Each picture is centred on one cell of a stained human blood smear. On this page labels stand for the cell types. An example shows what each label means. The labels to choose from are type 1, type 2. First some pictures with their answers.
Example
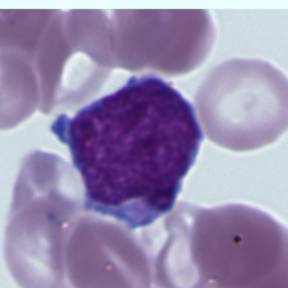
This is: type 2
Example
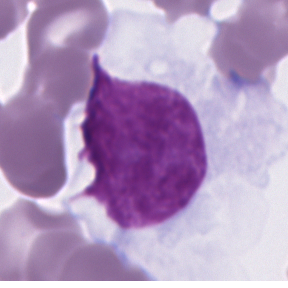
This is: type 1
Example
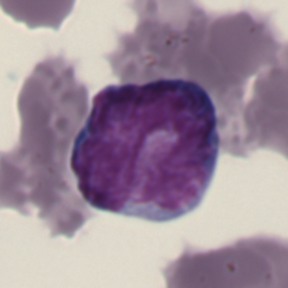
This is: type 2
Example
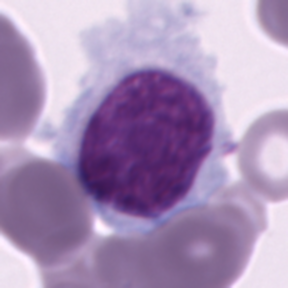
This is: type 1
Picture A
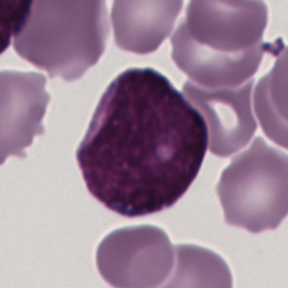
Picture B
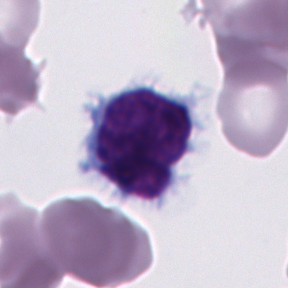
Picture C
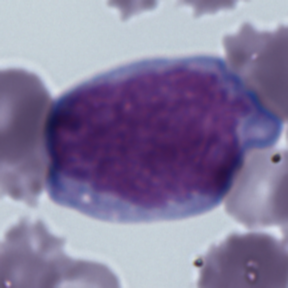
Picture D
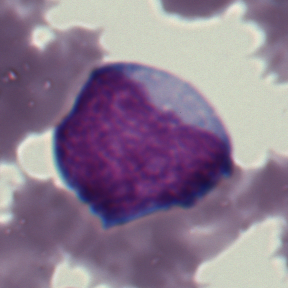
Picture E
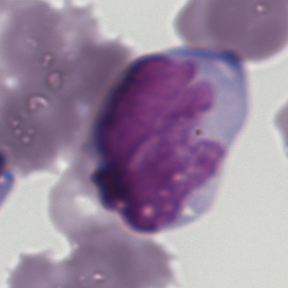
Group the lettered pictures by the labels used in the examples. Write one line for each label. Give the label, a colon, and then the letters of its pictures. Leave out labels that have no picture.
type 1: B
type 2: A, C, D, E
